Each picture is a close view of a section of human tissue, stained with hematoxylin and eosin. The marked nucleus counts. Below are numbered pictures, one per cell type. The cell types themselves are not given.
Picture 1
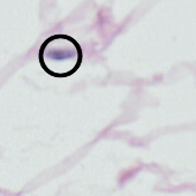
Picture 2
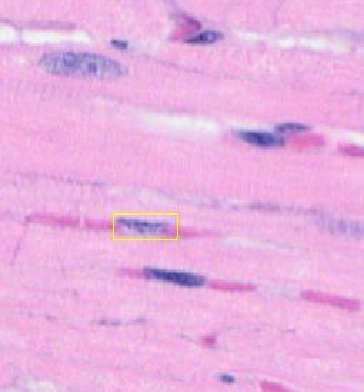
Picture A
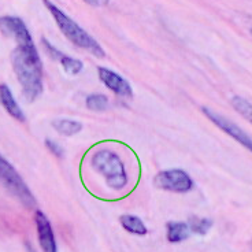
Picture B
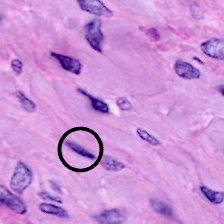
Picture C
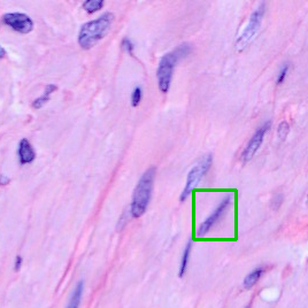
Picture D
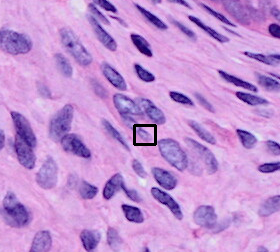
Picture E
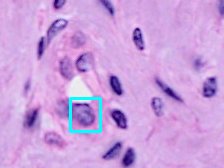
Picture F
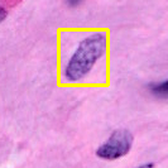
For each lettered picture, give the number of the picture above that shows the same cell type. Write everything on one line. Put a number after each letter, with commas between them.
A 2, B 1, C 1, D 2, E 2, F 1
